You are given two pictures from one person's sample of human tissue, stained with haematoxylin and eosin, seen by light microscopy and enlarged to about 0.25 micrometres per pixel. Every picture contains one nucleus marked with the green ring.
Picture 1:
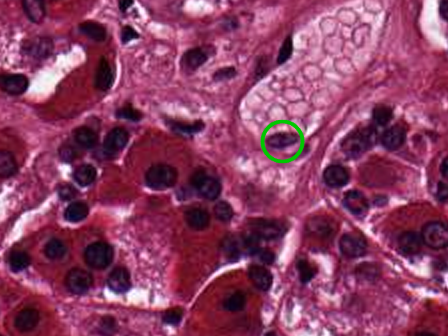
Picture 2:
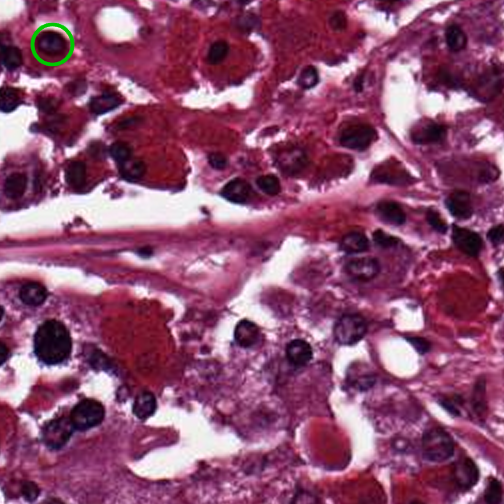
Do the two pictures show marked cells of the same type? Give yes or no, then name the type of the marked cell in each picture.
No, the first is an endothelial cell and the second an anterior pituitary cell.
